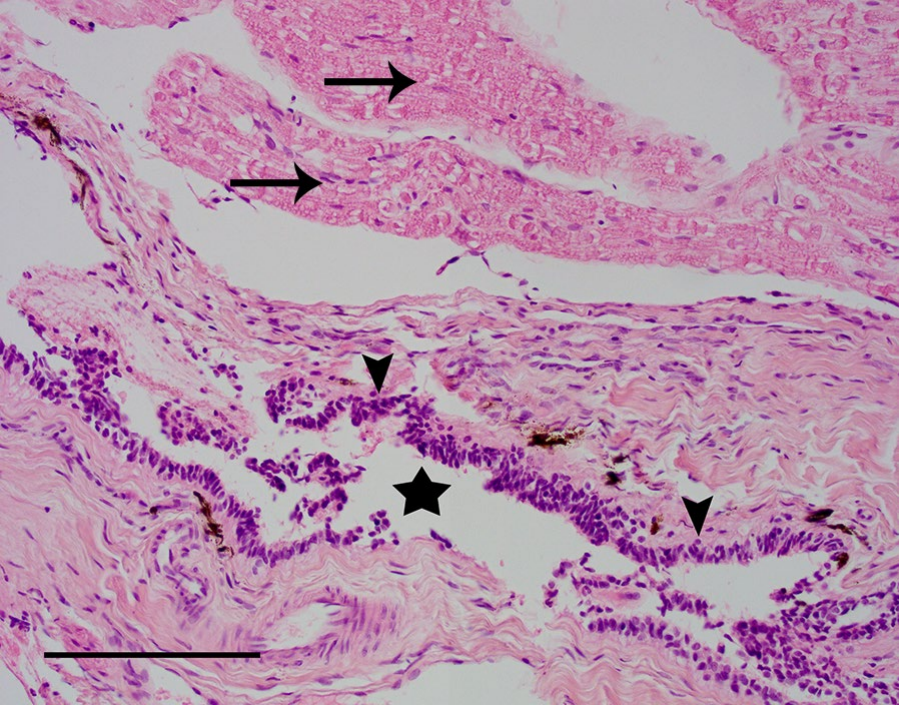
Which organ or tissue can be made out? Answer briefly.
Fibrous tissue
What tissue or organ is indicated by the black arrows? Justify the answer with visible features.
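The arrows point to pink bundles at the top with a finely vacuolated, bubbly texture. The bundles hold scattered small elongated nuclei. The bundles are separated from the tissue below by clear spaces.
Hence: Peripheral nerve tissue.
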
